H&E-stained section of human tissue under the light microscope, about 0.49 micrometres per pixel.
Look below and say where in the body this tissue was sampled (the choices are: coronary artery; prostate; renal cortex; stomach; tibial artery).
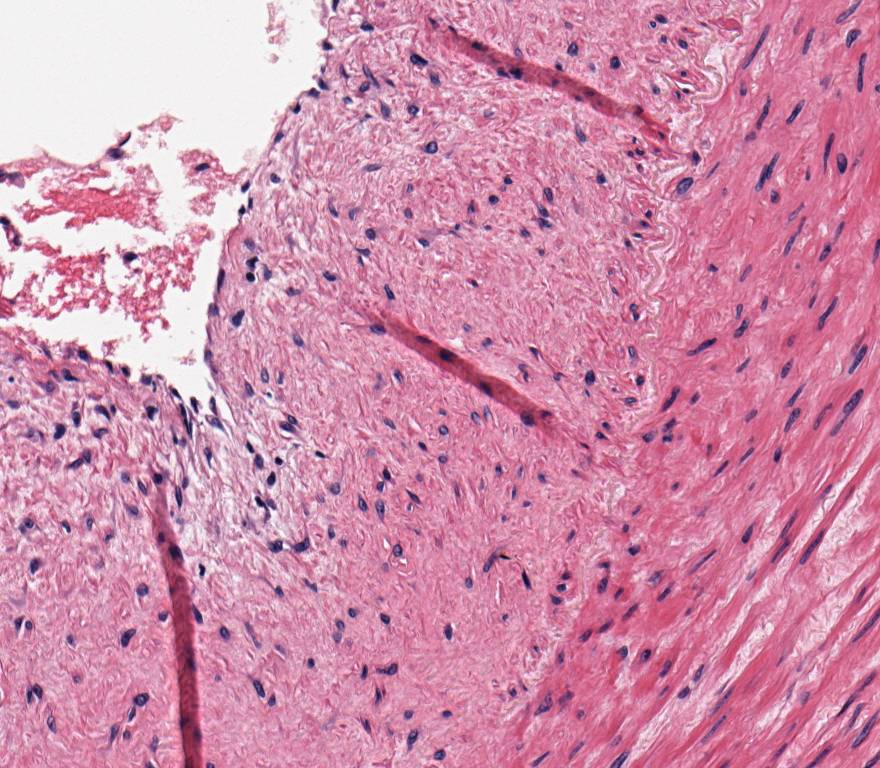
coronary artery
